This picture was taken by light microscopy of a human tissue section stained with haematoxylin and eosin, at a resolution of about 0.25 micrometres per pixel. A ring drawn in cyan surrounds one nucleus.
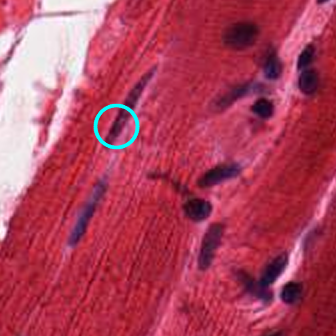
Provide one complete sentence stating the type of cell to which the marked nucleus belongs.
The nucleus marked in this picture belongs to a skeletal muscle fibre.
